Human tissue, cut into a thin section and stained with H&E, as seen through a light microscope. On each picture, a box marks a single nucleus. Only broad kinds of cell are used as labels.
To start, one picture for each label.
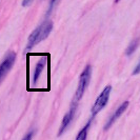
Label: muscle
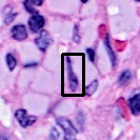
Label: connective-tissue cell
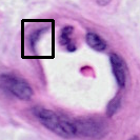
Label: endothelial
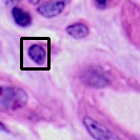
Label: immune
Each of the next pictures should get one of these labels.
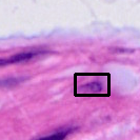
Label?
muscle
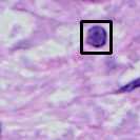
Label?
immune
